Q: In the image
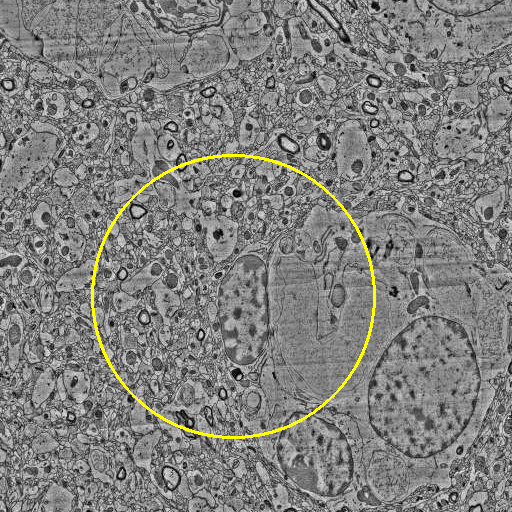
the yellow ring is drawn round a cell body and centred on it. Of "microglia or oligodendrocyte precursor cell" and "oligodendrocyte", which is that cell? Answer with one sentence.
The cell centred in the ring is a microglial cell or oligodendrocyte precursor cell.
